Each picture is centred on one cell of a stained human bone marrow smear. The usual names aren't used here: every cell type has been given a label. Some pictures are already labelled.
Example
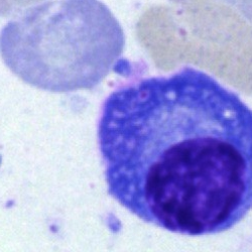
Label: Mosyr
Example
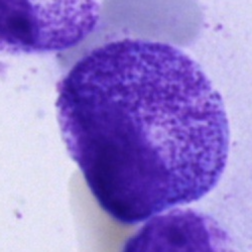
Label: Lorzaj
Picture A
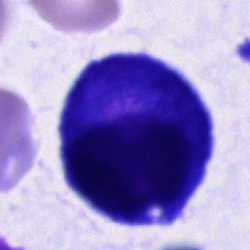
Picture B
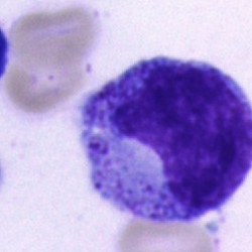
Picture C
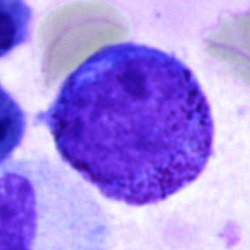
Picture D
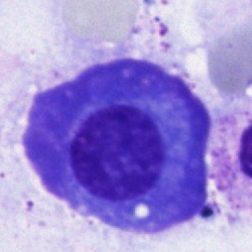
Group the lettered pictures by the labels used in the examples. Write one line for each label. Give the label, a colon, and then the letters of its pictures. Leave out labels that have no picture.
Mosyr: A, D
Lorzaj: B, C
